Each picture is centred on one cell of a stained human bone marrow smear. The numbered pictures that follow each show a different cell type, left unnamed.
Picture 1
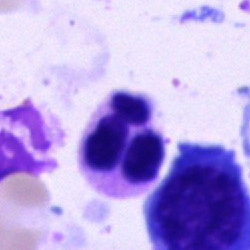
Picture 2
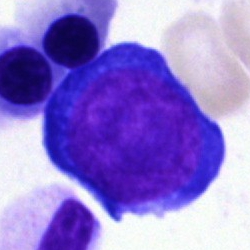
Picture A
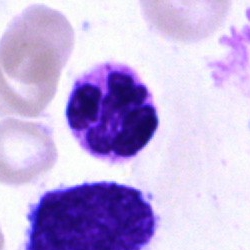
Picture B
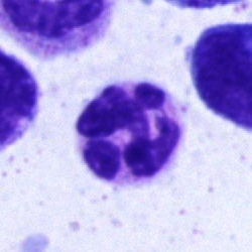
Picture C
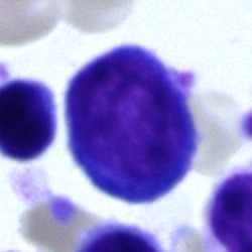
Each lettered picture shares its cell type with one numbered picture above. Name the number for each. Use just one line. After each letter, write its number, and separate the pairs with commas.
A 1, B 1, C 2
